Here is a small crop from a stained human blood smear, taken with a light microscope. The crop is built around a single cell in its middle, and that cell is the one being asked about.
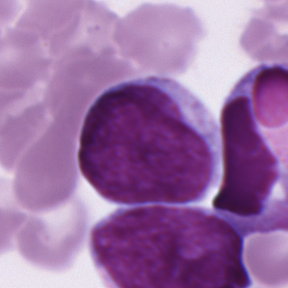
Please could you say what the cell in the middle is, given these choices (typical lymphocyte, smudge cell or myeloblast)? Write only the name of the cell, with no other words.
myeloblast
